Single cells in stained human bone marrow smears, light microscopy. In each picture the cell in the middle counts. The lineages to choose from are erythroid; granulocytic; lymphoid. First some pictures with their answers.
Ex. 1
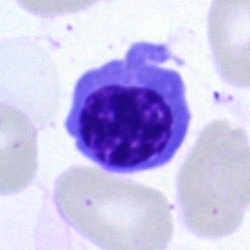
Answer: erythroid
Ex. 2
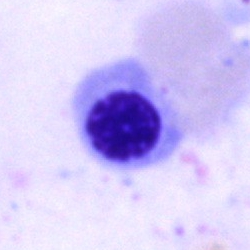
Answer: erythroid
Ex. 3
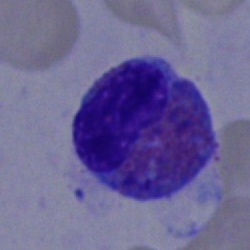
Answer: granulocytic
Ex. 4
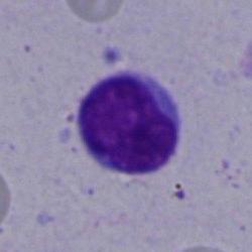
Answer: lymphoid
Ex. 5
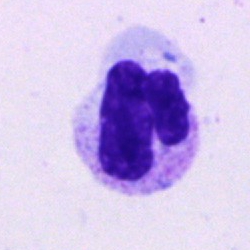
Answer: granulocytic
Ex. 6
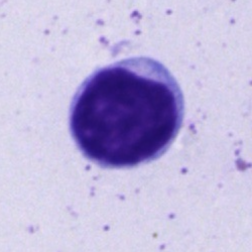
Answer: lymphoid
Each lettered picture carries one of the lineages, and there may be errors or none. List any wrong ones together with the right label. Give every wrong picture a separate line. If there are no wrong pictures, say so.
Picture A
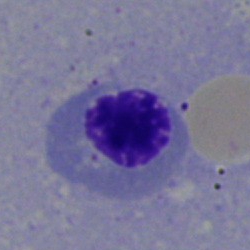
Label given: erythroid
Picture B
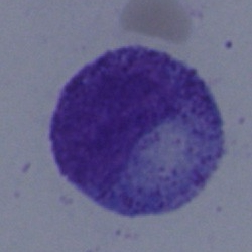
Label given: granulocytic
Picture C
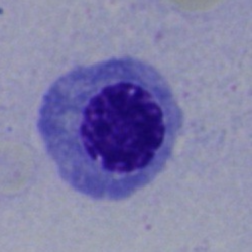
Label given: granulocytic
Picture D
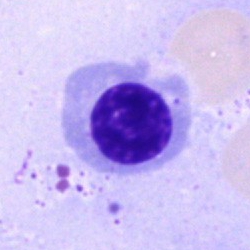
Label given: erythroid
C: not granulocytic but erythroid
